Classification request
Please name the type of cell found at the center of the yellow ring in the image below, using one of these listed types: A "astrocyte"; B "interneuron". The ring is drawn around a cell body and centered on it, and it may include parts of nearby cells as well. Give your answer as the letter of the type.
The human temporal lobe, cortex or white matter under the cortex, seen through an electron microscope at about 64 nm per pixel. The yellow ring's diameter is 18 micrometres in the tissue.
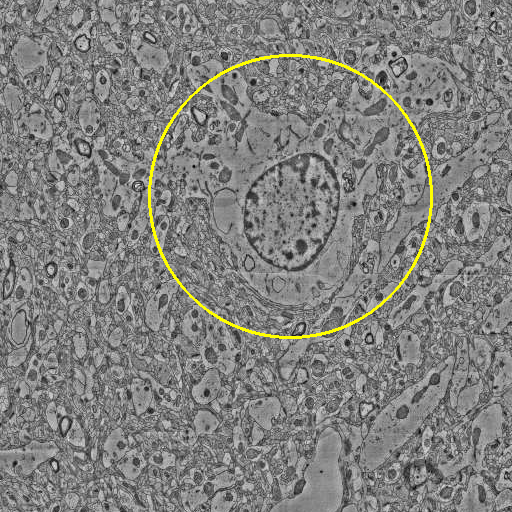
A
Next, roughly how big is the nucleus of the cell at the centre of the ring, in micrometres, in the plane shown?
In this plane the nucleus measures roughly 8 by 6 micrometres.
